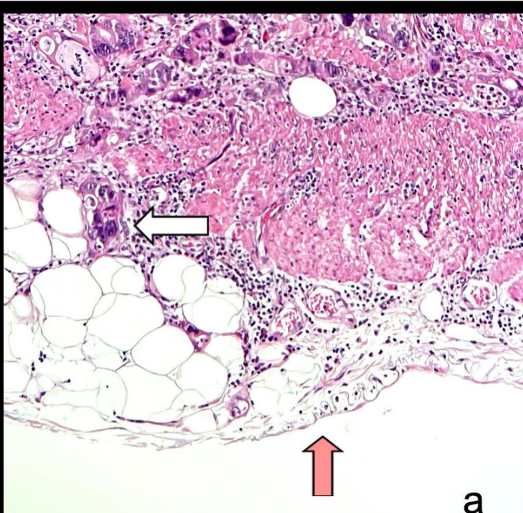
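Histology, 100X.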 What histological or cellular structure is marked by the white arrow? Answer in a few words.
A: Adenocarcinoma glands.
